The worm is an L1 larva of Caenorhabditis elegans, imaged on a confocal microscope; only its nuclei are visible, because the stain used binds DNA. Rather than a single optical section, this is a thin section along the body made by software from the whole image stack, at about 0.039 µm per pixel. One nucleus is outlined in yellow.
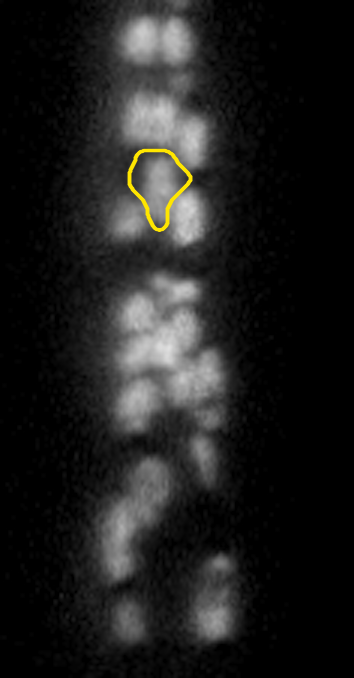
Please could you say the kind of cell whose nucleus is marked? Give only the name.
rectal epithelial cell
